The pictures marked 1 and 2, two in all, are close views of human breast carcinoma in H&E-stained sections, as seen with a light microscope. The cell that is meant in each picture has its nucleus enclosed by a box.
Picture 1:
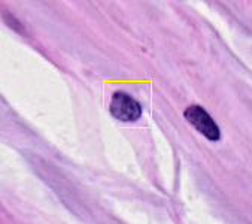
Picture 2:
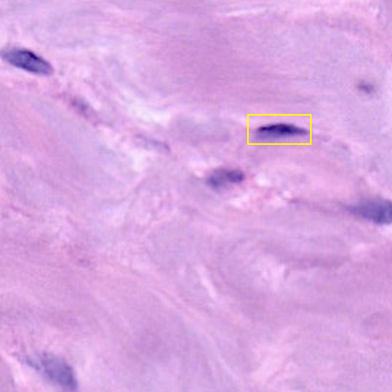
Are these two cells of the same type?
no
